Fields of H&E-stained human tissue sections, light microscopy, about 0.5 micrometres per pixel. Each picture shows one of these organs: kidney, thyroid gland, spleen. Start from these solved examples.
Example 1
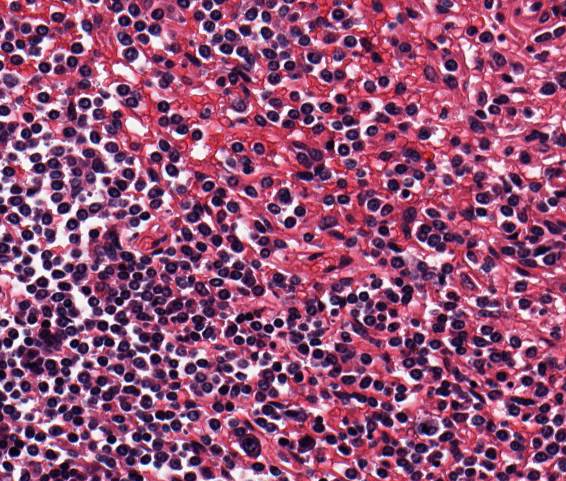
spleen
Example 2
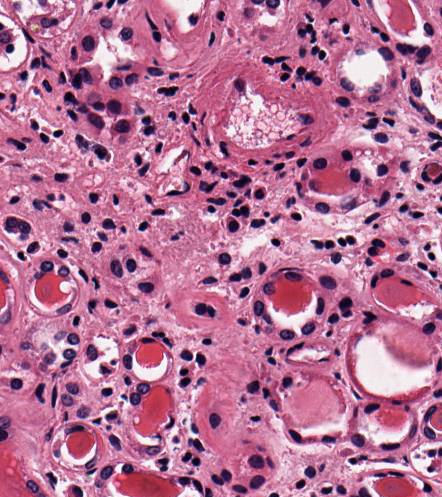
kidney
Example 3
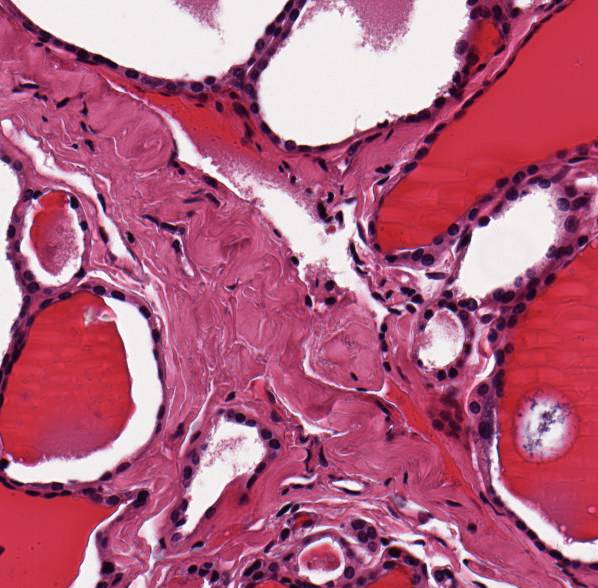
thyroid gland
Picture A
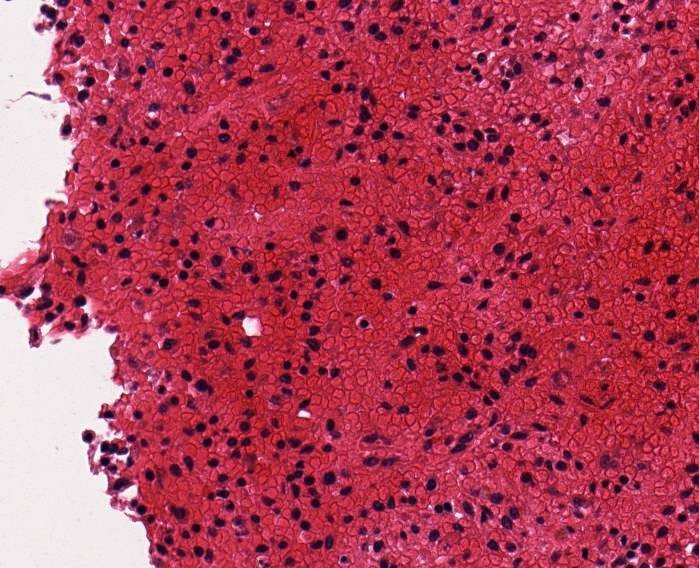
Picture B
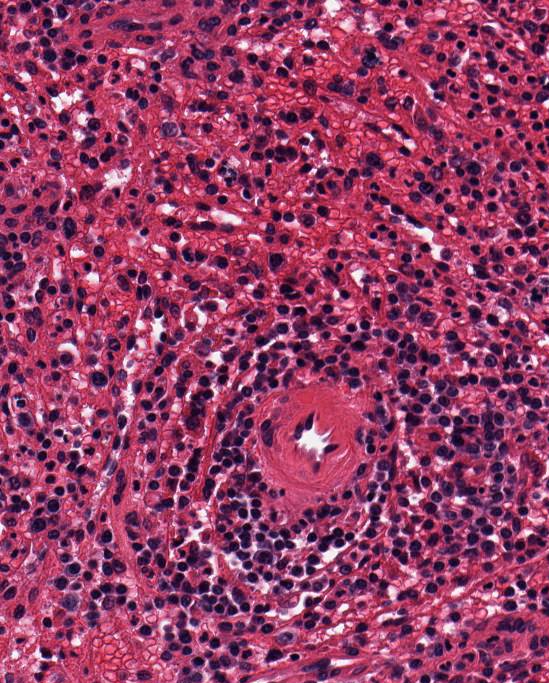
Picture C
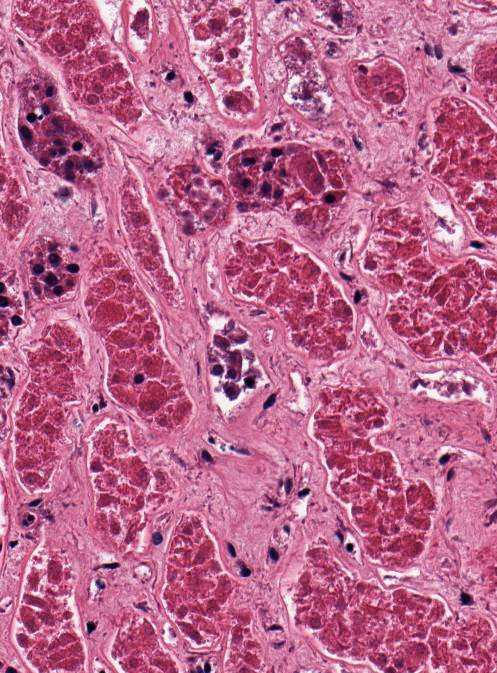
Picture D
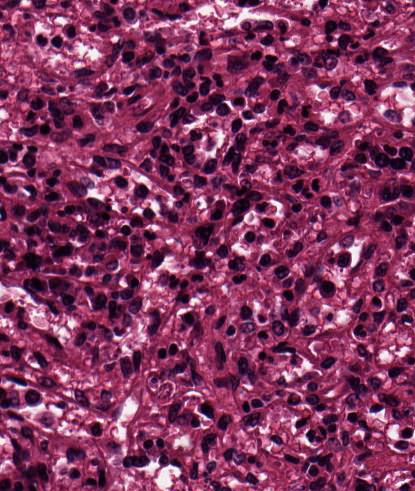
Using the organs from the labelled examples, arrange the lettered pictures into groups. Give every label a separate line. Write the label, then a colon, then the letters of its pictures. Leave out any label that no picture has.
kidney: C
spleen: A, B, D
